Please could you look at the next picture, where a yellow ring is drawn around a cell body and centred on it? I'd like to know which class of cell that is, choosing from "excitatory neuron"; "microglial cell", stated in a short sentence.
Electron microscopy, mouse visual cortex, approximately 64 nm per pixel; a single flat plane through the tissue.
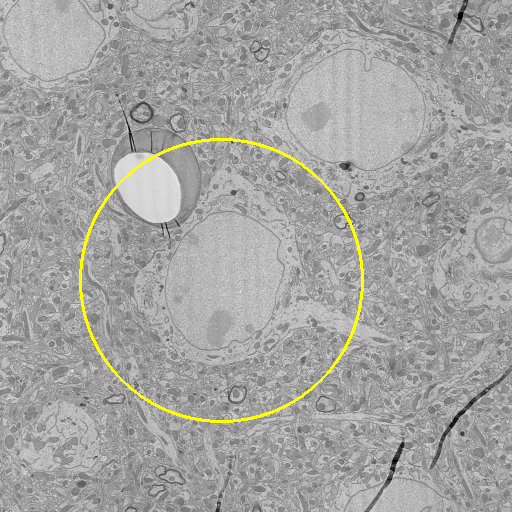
The ring's centre lies on an excitatory neuron.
